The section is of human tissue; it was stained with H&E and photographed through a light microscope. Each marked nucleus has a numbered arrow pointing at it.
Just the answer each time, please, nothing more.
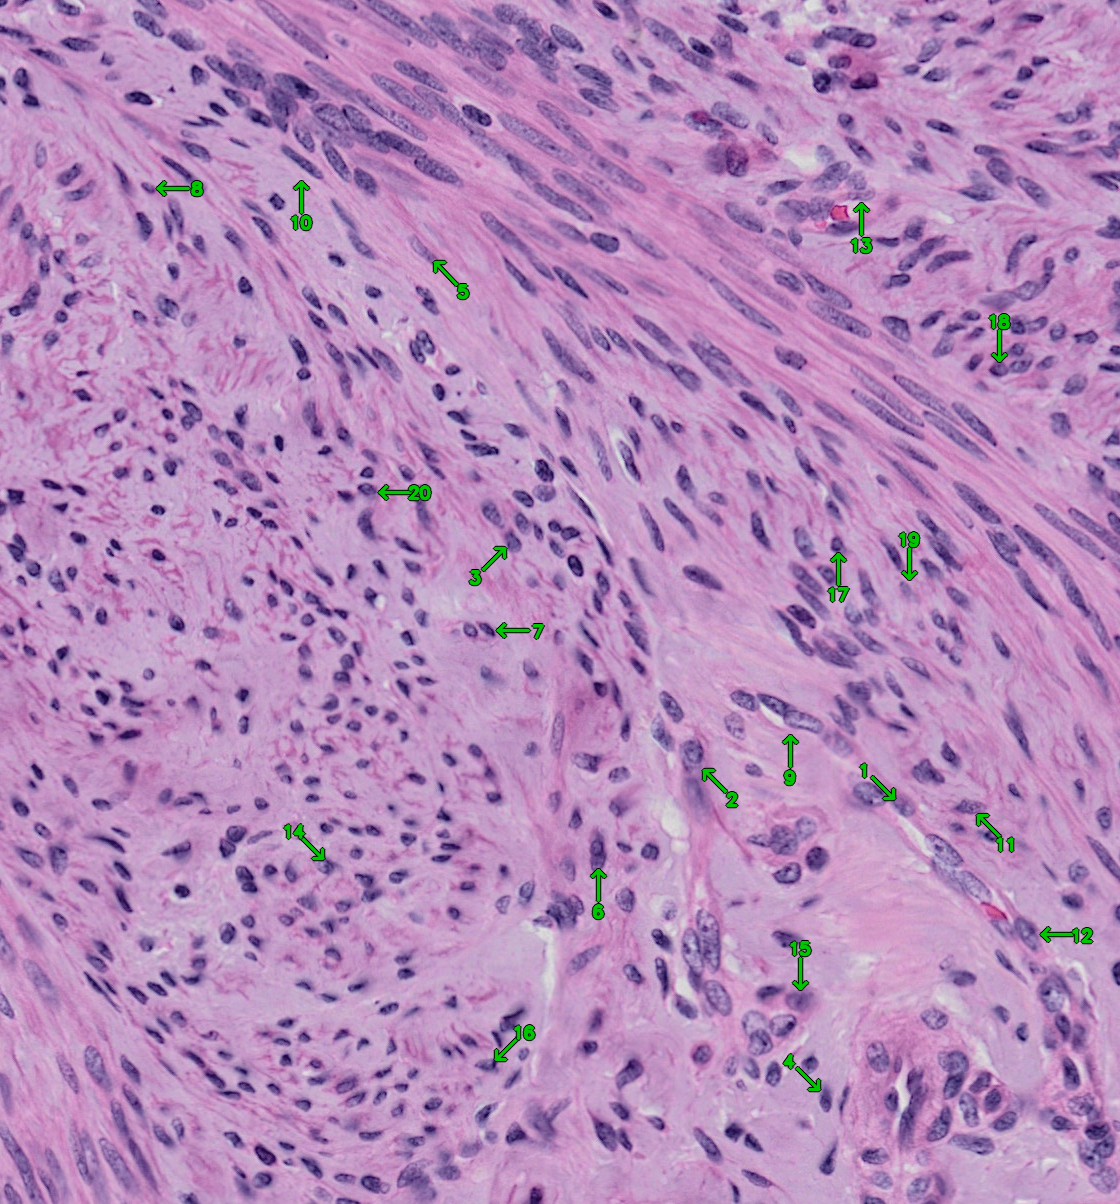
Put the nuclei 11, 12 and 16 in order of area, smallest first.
16, 11, 12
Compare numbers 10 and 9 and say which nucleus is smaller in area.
10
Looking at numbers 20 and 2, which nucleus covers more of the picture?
2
